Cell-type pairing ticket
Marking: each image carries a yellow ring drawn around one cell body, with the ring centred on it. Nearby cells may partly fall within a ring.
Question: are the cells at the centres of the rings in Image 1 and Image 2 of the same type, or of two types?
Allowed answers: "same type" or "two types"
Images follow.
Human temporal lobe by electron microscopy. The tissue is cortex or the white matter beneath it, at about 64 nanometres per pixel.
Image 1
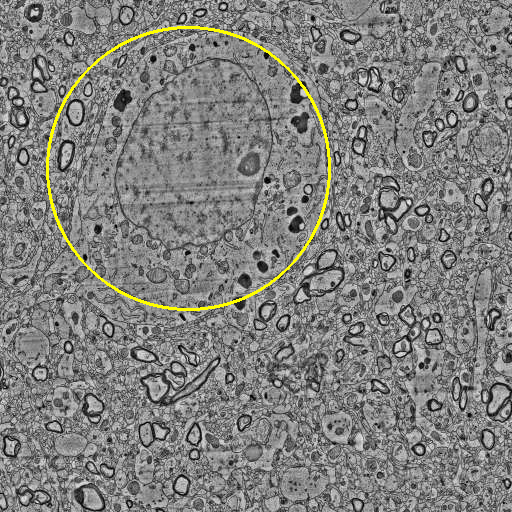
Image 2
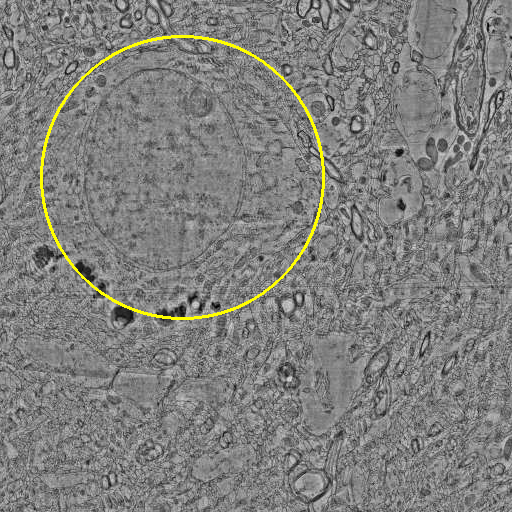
same type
